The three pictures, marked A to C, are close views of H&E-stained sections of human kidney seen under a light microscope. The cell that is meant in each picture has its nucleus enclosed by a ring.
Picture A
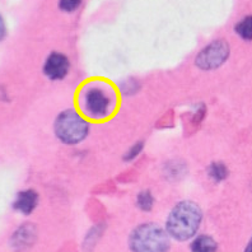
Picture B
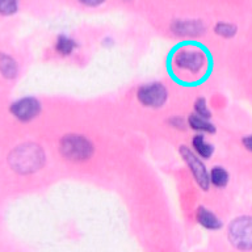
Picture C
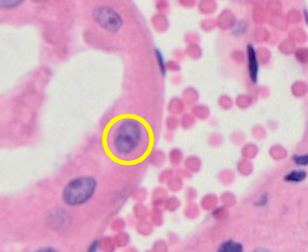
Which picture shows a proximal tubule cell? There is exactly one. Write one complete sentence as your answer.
The picture with the proximal tubule cell is C.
